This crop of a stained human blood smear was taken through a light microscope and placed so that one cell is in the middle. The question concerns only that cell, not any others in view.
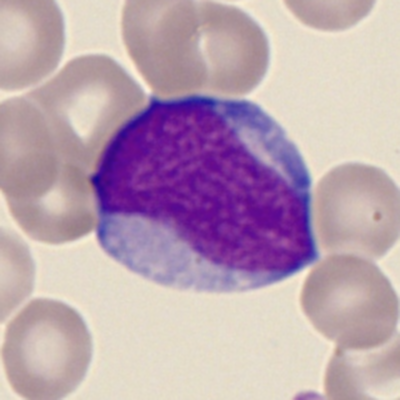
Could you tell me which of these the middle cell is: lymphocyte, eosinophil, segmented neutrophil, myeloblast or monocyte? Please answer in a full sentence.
Where the crop is centred, there is a myeloblast.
